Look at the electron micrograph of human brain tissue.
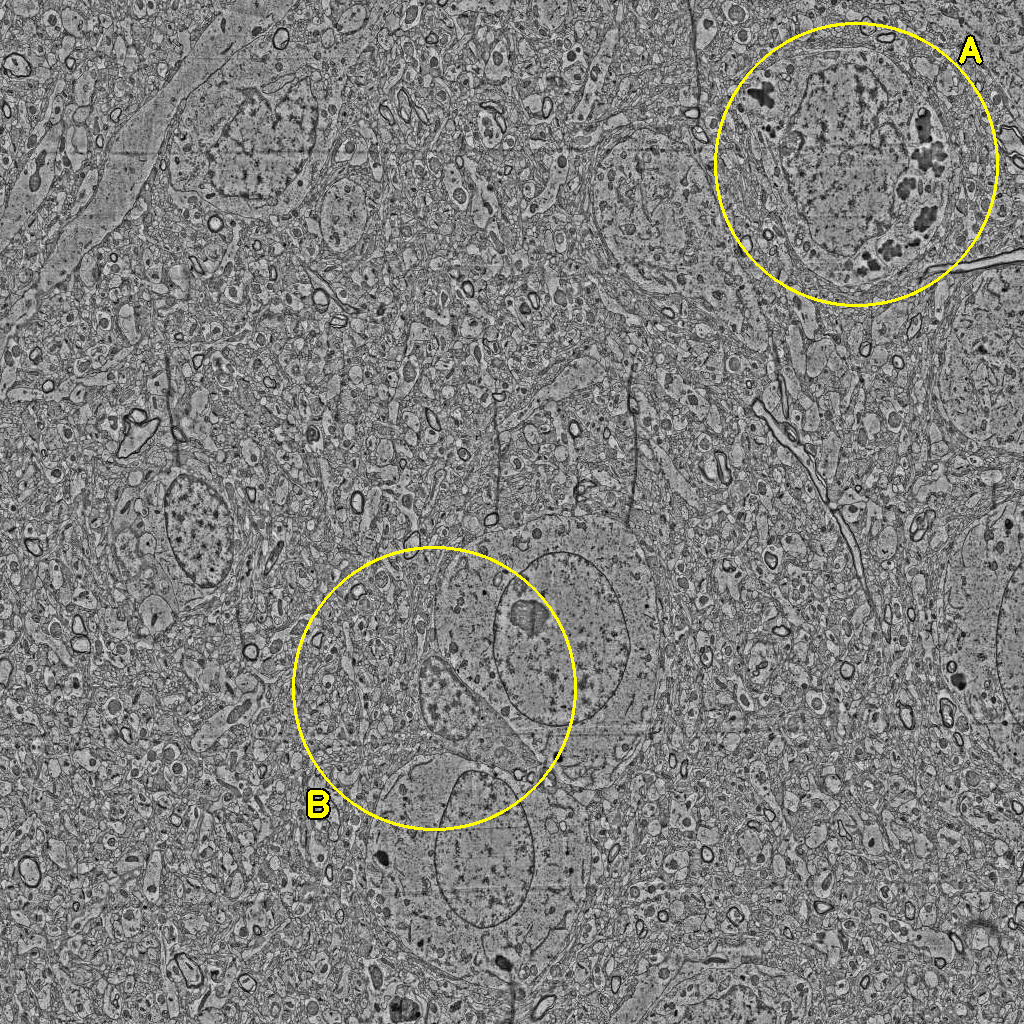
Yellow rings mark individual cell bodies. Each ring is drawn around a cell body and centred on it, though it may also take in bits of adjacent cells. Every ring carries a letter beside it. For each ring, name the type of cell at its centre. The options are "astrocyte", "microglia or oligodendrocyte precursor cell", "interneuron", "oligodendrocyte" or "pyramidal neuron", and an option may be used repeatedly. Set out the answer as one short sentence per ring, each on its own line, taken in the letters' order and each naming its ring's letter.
Ring A is drawn around an interneuron.
Ring B is drawn around an oligodendrocyte.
